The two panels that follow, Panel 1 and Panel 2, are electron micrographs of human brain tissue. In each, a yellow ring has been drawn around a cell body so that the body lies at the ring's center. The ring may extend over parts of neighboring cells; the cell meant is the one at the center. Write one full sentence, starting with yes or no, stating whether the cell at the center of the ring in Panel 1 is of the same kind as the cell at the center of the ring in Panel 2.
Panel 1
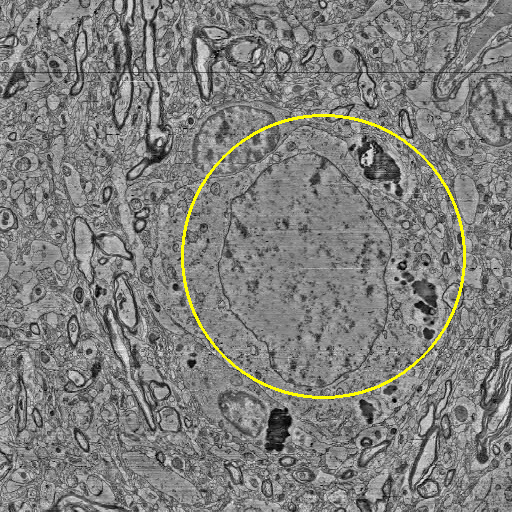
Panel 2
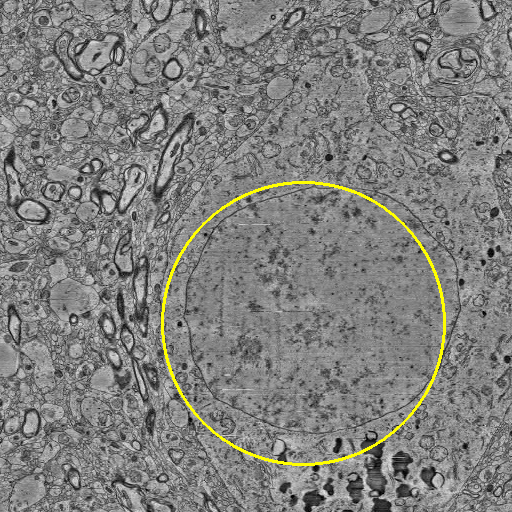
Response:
Yes, the cells in both panels are of the same kind.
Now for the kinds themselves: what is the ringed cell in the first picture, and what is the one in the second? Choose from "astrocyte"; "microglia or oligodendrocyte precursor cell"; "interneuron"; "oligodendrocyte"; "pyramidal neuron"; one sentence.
Each one of the two ringed cells is a pyramidal neuron.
